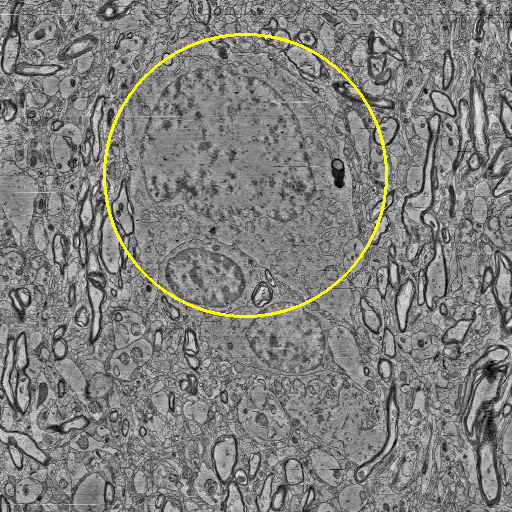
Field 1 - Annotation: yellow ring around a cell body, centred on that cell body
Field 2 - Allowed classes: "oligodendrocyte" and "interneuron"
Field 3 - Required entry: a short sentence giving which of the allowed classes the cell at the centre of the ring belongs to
The centred cell is an interneuron.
